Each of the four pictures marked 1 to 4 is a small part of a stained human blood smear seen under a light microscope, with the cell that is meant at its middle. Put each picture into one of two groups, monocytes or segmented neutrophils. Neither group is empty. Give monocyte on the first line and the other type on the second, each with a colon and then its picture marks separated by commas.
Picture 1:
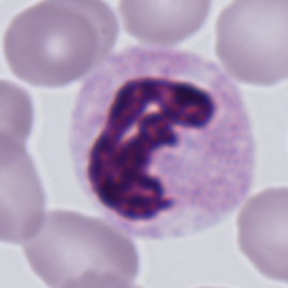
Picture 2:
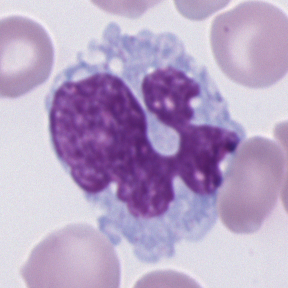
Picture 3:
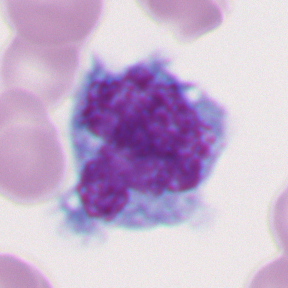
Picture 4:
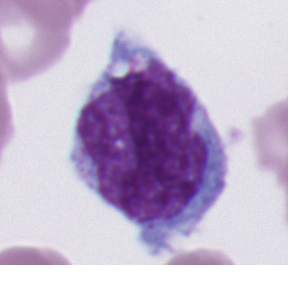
monocyte: 2, 3, 4
segmented neutrophil: 1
